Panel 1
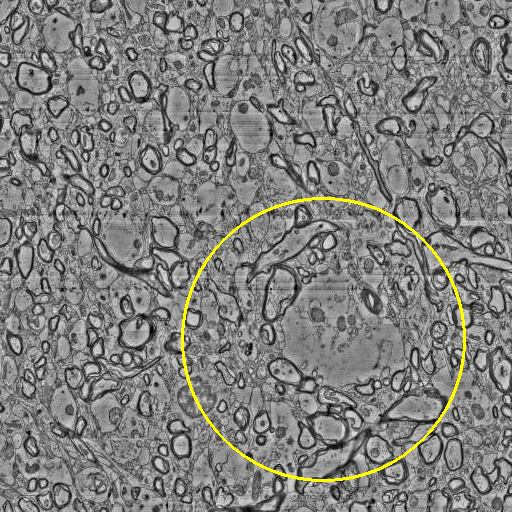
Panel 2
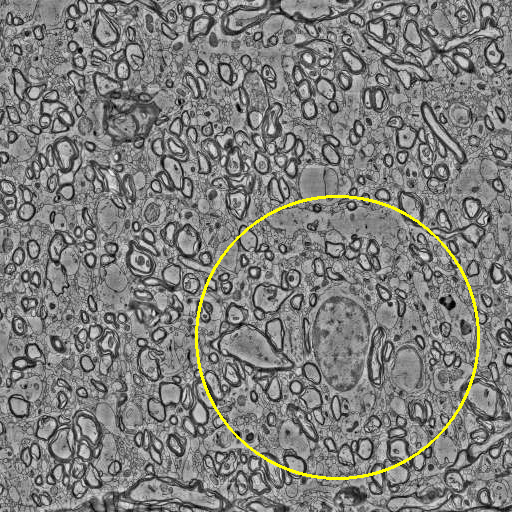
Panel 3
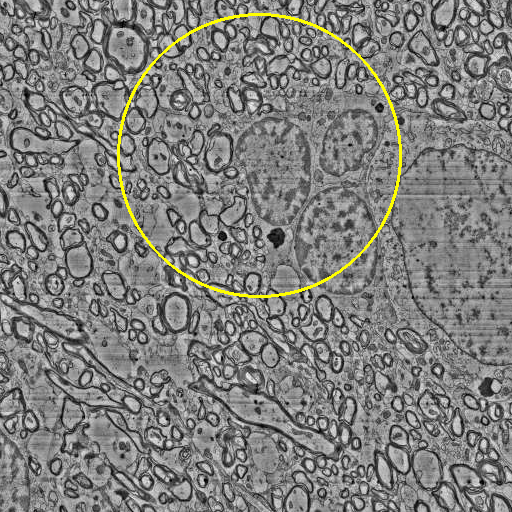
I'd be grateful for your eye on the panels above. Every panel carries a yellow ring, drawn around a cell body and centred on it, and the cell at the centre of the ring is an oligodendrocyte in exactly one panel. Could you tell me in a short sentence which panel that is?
Panel 3 is the one with it at the centre of the ring.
